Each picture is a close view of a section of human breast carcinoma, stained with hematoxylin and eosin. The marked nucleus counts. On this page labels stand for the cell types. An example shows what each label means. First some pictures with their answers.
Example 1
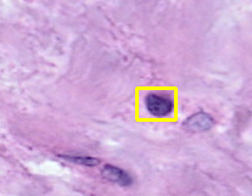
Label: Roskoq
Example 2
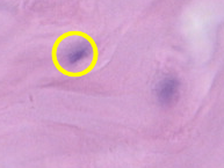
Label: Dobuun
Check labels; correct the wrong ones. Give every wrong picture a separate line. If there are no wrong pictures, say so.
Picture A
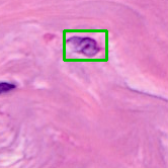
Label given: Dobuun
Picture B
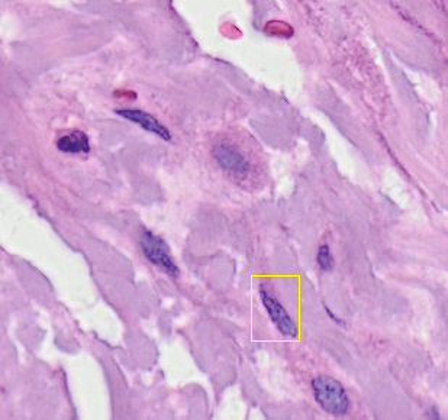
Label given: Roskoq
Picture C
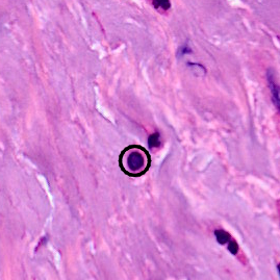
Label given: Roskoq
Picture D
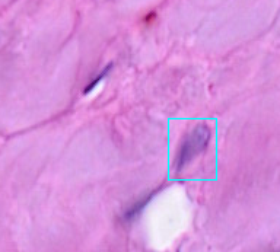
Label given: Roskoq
B: not Roskoq but Dobuun
D: not Roskoq but Dobuun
